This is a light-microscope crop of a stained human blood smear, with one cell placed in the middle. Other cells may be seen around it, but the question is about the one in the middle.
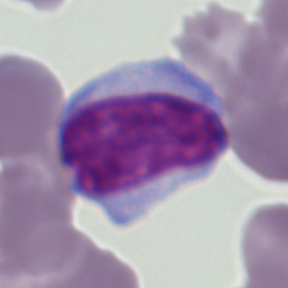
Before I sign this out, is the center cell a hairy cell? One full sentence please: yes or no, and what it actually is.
No, the cell at the center of this crop is a typical lymphocyte instead of a hairy cell.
